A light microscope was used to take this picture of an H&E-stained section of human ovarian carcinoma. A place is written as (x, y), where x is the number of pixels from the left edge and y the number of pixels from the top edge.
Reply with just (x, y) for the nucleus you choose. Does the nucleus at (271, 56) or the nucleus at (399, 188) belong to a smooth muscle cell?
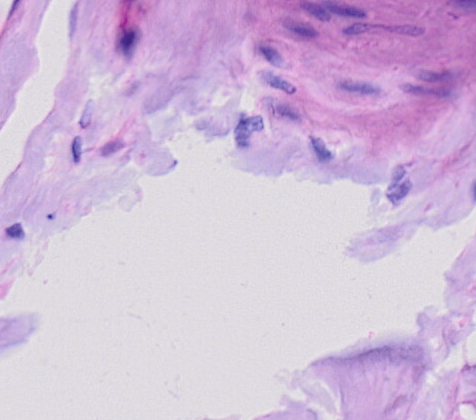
(271, 56)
